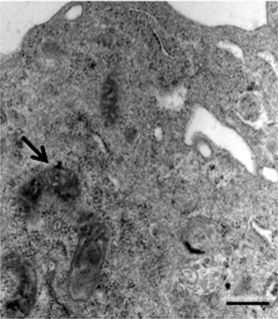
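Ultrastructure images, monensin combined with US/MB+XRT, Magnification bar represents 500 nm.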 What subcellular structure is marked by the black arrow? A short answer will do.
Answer: Mitochondria.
